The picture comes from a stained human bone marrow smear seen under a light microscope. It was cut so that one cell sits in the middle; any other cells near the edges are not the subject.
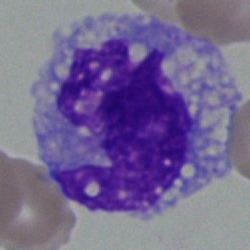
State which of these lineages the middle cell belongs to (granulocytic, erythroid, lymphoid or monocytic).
monocytic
